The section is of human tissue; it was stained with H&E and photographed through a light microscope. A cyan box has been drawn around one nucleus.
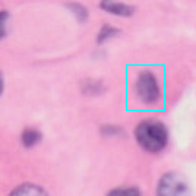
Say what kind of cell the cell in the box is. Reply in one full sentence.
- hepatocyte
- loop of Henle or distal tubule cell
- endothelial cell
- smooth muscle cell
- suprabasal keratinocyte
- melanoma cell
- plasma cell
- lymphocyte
The cell in the box appears to be a loop of Henle or distal tubule cell.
